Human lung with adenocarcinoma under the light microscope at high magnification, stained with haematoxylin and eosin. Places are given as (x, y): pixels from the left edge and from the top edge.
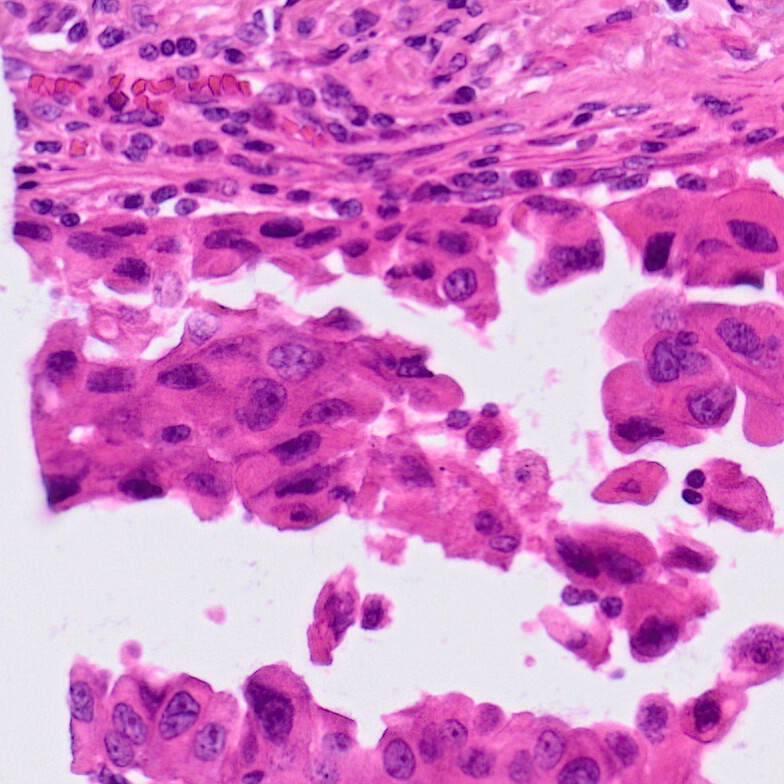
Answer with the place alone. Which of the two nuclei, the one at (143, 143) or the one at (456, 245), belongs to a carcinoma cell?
(456, 245)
